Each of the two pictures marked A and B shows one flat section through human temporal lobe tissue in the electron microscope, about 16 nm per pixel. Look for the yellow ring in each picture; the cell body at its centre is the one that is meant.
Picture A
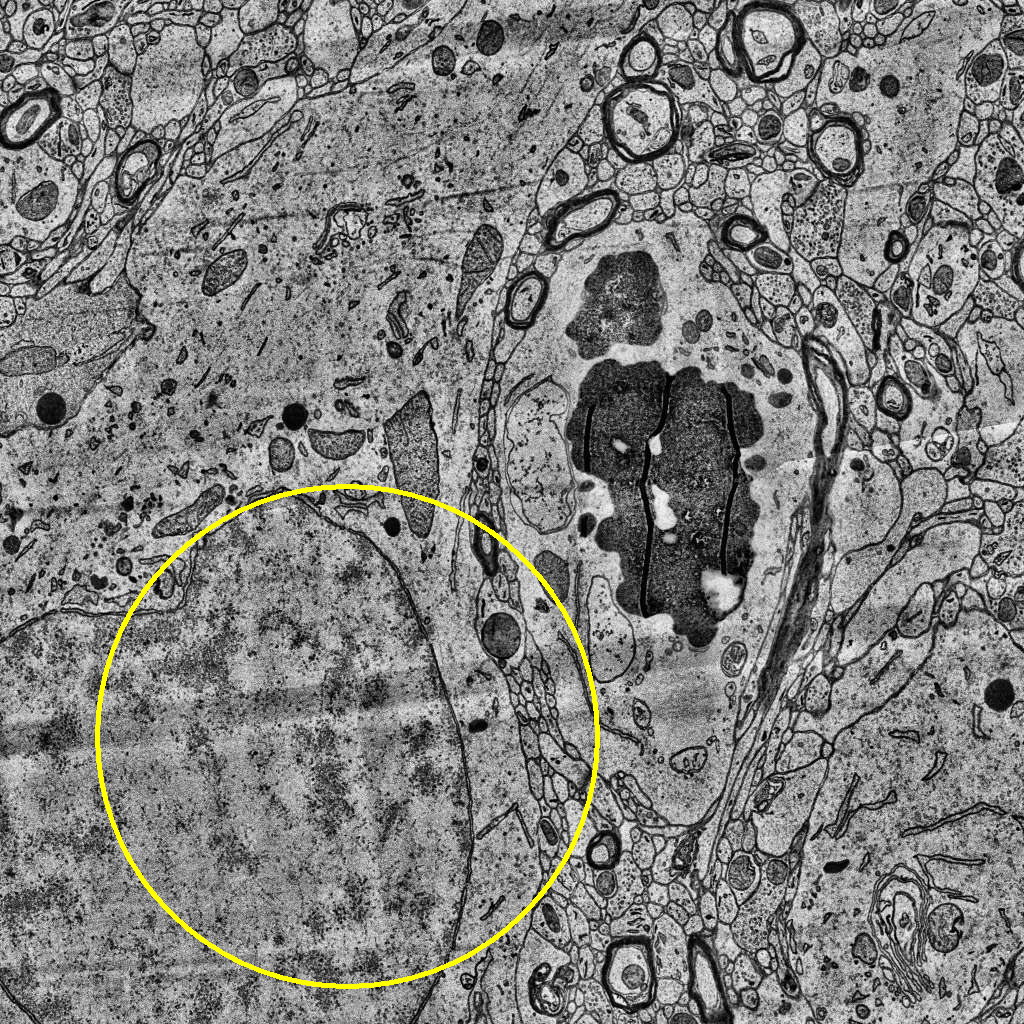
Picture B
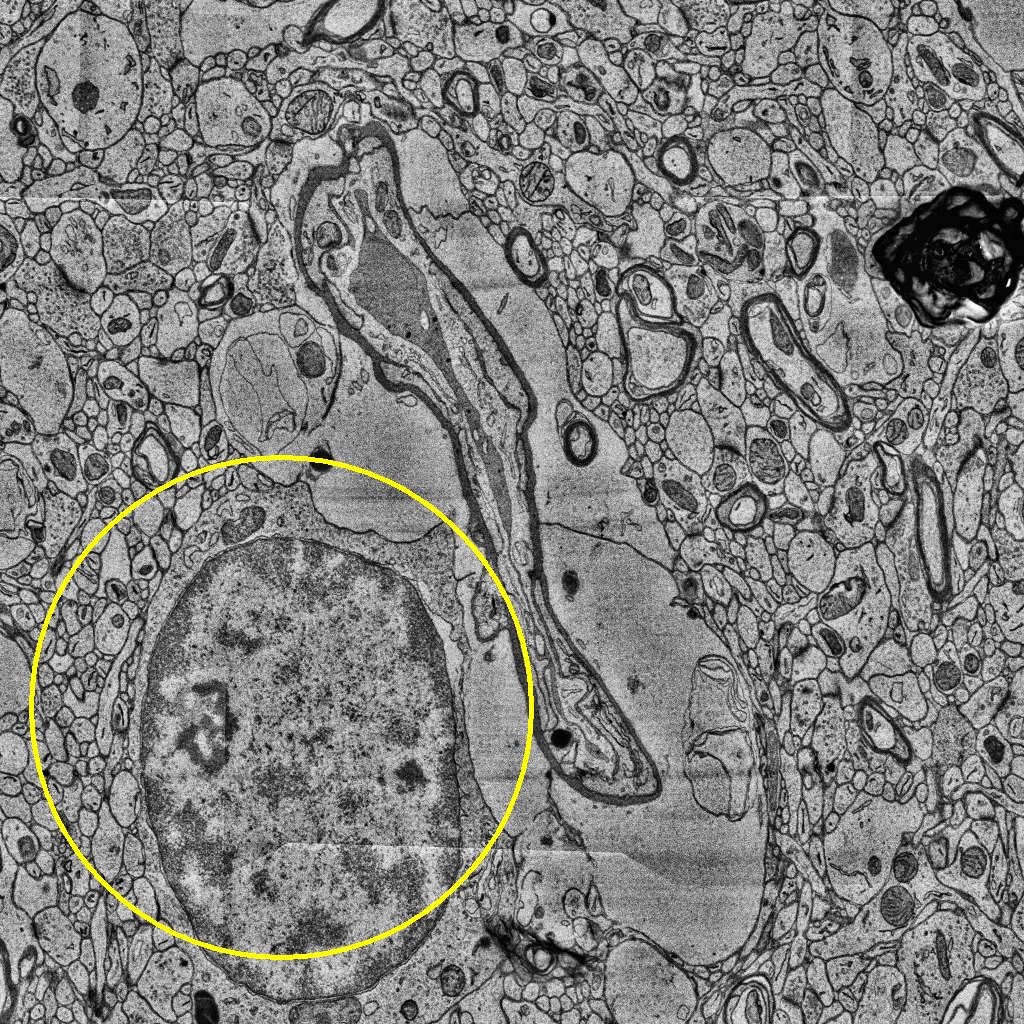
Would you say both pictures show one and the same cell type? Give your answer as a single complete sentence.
No. Picture A shows a pyramidal neuron, but picture B shows an oligodendrocyte.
